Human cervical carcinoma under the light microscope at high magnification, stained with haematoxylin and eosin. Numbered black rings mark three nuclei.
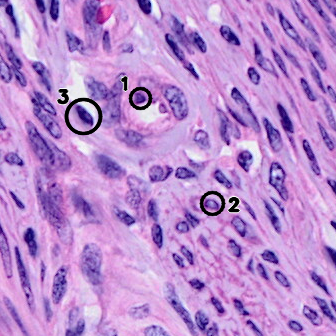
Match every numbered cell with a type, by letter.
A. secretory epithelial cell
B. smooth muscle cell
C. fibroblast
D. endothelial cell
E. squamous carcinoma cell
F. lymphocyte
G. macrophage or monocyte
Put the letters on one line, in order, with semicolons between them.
D; B; F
